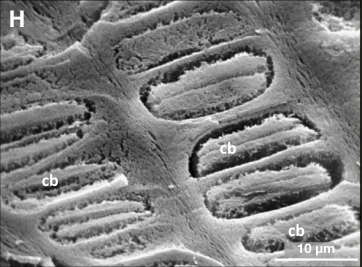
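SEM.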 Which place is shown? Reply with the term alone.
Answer: Proliferating zone of growth plate.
